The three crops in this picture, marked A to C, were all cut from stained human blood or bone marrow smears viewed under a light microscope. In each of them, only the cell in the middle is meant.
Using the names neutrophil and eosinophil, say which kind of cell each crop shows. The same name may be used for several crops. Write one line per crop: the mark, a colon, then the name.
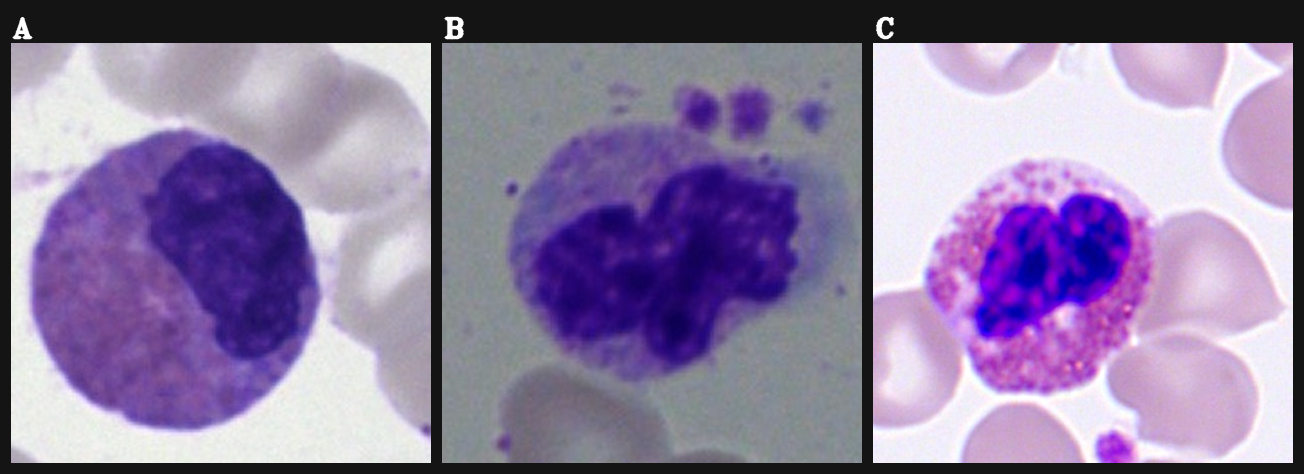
A: eosinophil
B: neutrophil
C: eosinophil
